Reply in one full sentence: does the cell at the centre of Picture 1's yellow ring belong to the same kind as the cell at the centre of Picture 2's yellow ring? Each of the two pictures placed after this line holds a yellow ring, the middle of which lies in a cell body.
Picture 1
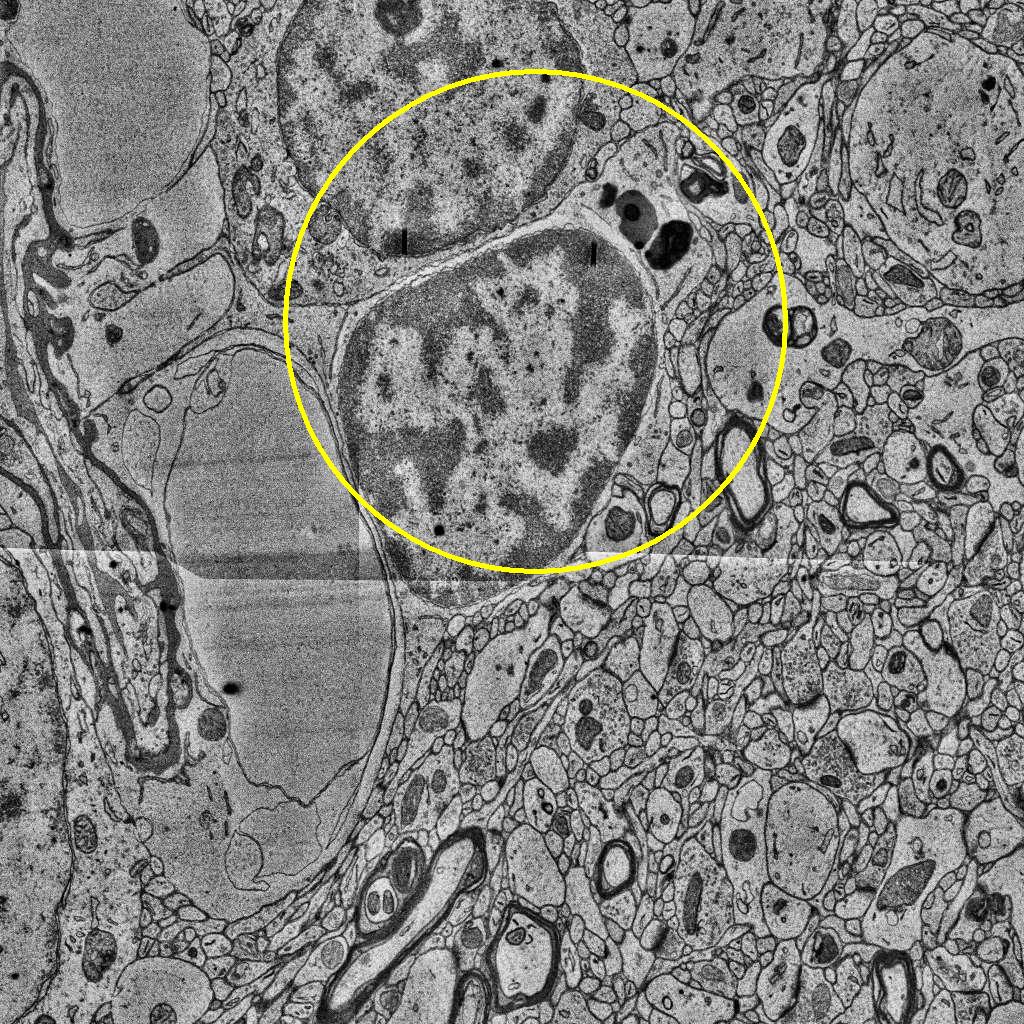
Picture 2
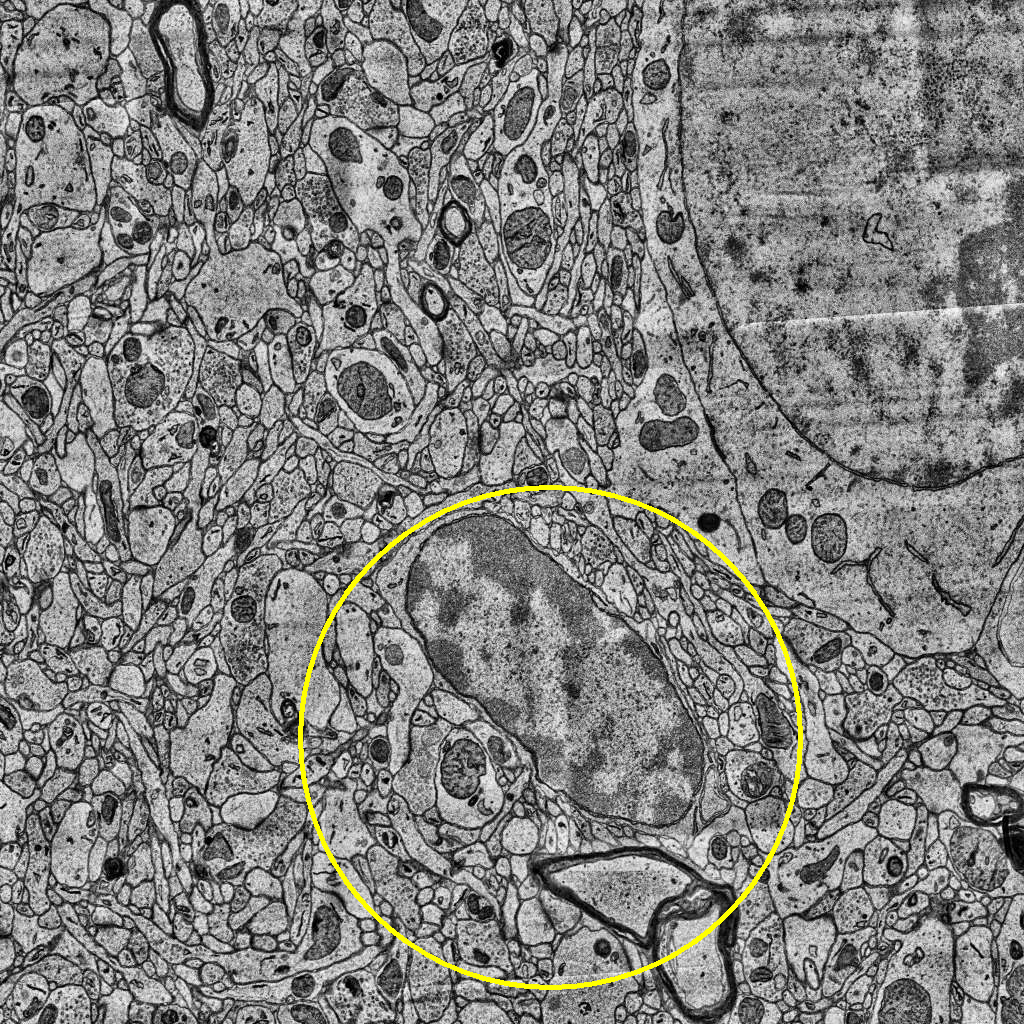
Yes, the cells at the ring centres in Picture 1 and Picture 2 are of one and the same kind.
